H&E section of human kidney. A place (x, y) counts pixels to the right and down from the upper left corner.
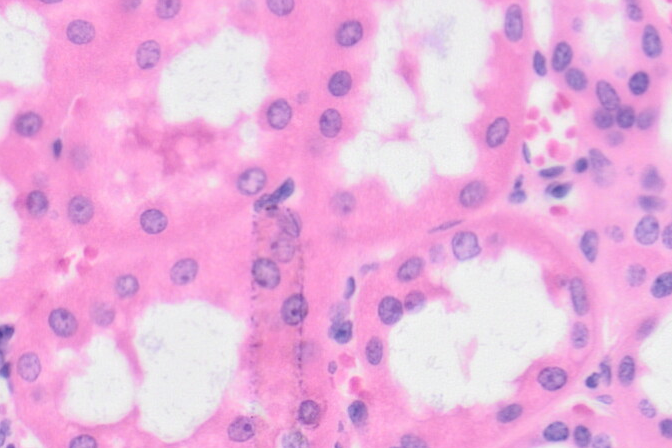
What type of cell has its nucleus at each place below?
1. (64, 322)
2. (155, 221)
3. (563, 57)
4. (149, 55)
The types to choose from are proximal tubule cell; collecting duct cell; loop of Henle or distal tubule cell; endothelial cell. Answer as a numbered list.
1. proximal tubule cell
2. proximal tubule cell
3. collecting duct cell
4. proximal tubule cell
